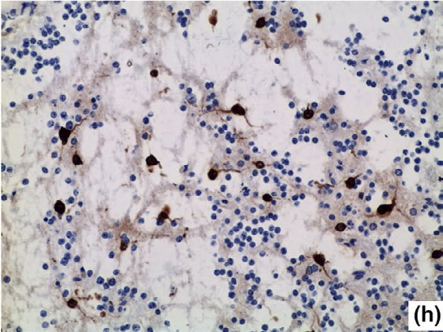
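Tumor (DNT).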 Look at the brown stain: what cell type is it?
Neurons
